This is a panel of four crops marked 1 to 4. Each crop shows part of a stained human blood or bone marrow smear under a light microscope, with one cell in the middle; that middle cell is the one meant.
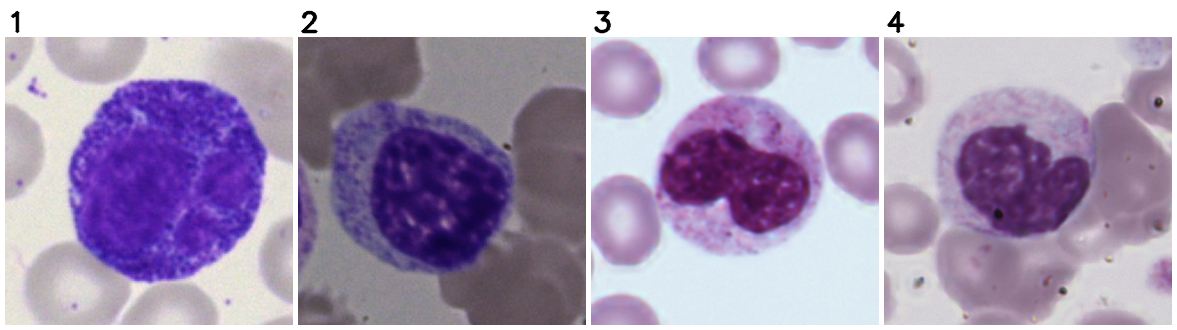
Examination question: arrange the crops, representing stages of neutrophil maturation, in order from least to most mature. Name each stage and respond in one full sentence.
In order of increasing maturity, the crops run crop 1 (a promyelocyte), crop 2 (a myelocyte), crop 3 (a metamyelocyte) and crop 4 (a band neutrophil).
